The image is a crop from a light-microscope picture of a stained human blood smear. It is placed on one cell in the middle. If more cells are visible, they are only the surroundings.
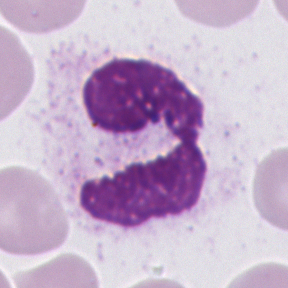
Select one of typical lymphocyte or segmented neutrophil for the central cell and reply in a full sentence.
Standing at the centre of this crop is a segmented neutrophil.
